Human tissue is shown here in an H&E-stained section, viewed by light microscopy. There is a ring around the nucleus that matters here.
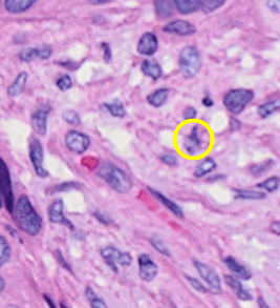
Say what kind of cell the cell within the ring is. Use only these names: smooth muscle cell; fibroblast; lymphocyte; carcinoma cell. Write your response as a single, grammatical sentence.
In this preparation, the cell within the ring is a fibroblast.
